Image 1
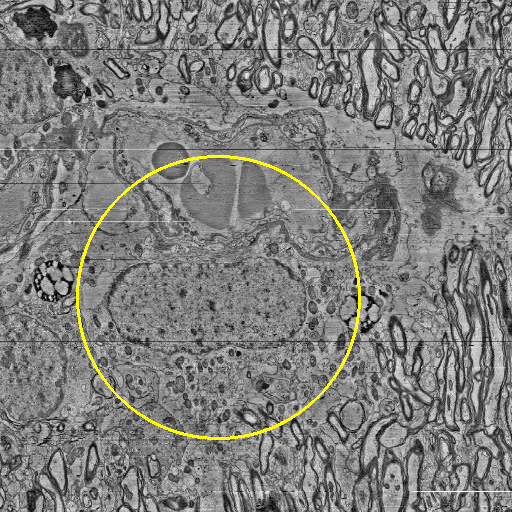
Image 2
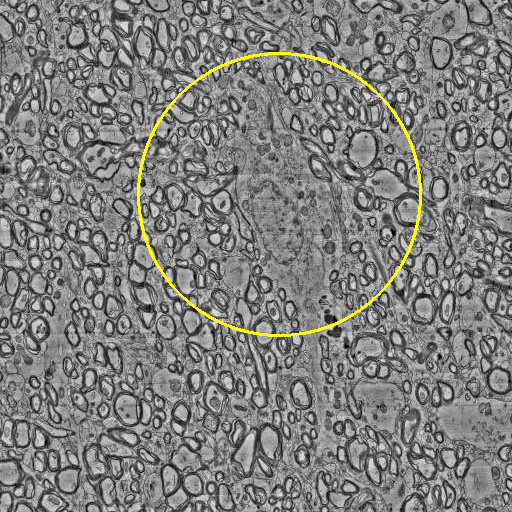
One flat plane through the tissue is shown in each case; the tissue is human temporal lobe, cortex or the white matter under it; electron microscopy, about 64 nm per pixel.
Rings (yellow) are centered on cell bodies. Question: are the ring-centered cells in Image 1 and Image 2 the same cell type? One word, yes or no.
yes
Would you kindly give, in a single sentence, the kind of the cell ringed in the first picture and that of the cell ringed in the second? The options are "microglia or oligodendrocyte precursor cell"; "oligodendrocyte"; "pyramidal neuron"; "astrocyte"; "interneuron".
Each of the two rings surrounds an astrocyte.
